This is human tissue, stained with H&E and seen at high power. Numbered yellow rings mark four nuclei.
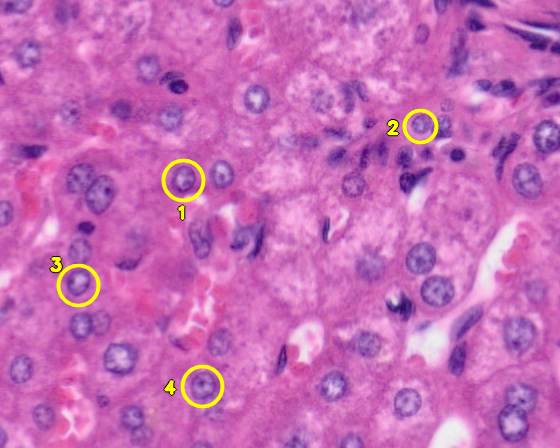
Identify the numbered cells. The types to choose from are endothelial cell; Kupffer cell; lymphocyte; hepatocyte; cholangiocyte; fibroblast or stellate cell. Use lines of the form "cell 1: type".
cell 1: hepatocyte
cell 2: cholangiocyte
cell 3: hepatocyte
cell 4: hepatocyte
